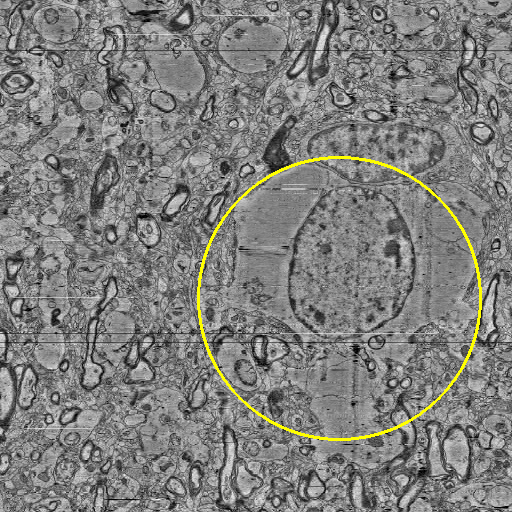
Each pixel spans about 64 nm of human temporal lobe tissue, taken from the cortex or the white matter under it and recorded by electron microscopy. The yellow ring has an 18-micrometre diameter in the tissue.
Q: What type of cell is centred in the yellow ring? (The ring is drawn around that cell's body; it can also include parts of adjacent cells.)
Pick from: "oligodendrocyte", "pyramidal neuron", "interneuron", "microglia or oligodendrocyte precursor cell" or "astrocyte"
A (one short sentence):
The yellow ring is centred on an astrocyte.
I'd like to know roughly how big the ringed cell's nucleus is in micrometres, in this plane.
About 10 by 8 micrometers, in this plane.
